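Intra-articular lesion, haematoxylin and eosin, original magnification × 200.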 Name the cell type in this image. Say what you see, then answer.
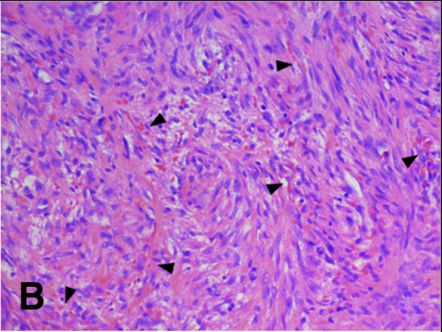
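Bland fibroblastic proliferation. Plump spindle cells with oval to elongated nuclei. Cells run in loose, crossing bundles in pink stroma. Nuclei are fairly uniform without marked atypia.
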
